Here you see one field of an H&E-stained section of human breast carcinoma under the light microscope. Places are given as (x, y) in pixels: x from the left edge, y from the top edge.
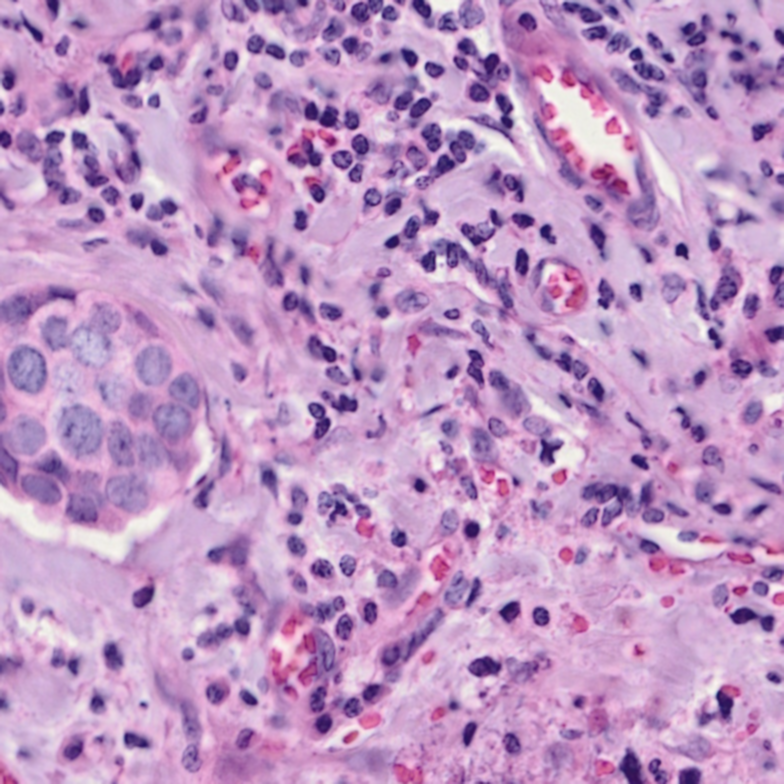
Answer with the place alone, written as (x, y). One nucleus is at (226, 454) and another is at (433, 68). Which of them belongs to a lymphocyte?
(433, 68)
